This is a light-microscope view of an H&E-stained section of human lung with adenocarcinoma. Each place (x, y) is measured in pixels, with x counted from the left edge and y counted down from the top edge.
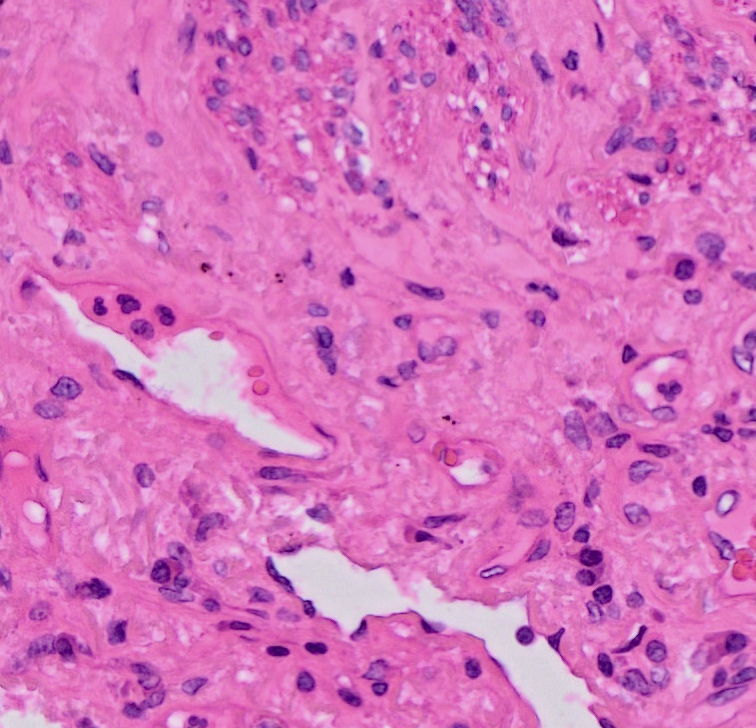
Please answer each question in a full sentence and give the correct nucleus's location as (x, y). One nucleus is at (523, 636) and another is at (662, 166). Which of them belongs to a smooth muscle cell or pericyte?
The nucleus belonging to a smooth muscle cell or pericyte is the one at (662, 166).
